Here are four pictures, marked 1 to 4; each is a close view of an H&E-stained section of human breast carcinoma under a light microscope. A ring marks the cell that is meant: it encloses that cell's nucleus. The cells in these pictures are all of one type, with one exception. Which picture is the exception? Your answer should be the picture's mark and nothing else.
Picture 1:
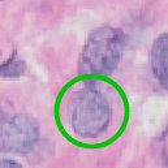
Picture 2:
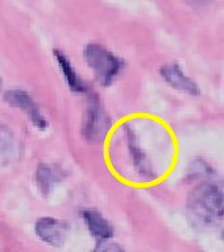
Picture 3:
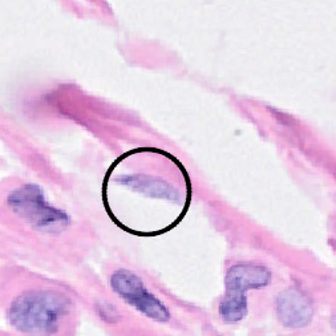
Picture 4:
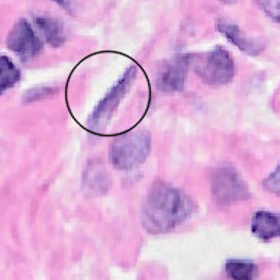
1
